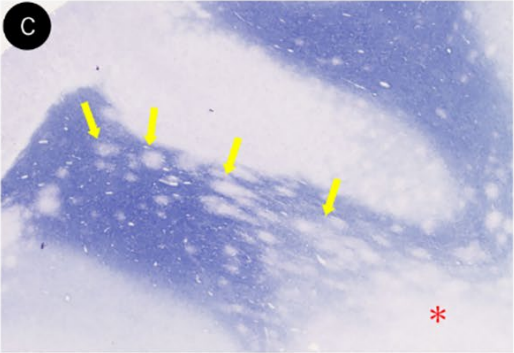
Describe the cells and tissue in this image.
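Near the cortex, small round pale foci lie separately in rows along the course of the white matter. Deeper, the pale foci merge into a broad pale plaque where the blue stain is lost. The overlying cortex appears pale and unstained by the blue dye.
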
